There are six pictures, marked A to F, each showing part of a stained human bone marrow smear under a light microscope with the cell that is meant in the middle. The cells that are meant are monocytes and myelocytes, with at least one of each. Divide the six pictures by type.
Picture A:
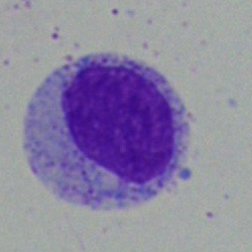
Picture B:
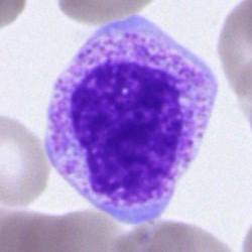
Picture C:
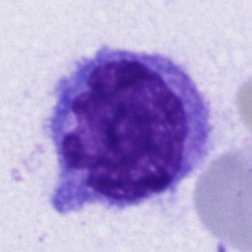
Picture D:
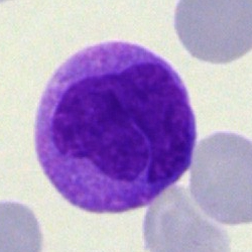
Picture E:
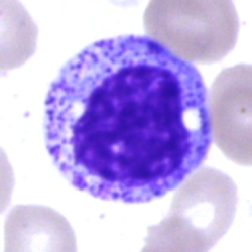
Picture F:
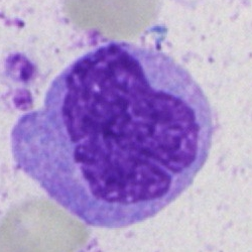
A: myelocyte
B: myelocyte
C: monocyte
D: monocyte
E: myelocyte
F: monocyte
